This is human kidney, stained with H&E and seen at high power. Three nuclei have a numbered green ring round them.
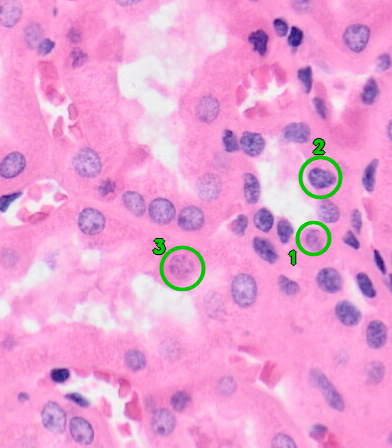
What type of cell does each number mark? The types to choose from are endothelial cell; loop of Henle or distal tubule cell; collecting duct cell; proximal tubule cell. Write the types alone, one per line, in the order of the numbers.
loop of Henle or distal tubule cell
loop of Henle or distal tubule cell
proximal tubule cell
